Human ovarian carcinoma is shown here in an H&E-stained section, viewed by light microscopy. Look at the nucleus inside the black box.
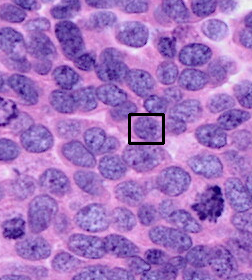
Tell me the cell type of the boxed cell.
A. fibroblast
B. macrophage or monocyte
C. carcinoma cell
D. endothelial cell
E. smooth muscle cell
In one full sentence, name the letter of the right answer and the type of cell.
Option C correctly labels the boxed cell as a carcinoma cell.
